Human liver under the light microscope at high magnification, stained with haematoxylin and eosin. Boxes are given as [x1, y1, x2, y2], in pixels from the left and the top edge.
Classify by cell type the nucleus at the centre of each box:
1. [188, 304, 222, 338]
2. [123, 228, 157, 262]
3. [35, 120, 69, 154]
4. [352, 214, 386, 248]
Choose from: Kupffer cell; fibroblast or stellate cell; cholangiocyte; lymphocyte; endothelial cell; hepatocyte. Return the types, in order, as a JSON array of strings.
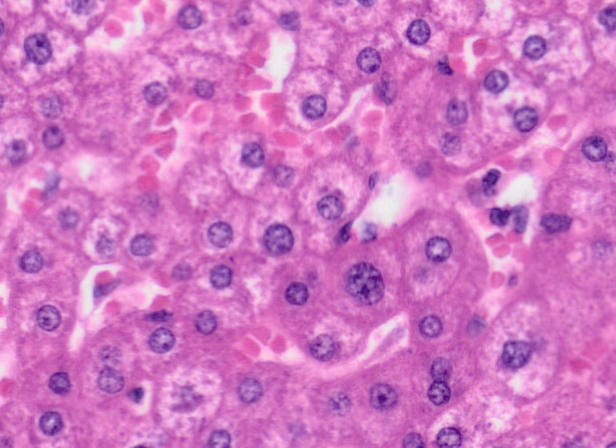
["hepatocyte", "hepatocyte", "hepatocyte", "endothelial cell"]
